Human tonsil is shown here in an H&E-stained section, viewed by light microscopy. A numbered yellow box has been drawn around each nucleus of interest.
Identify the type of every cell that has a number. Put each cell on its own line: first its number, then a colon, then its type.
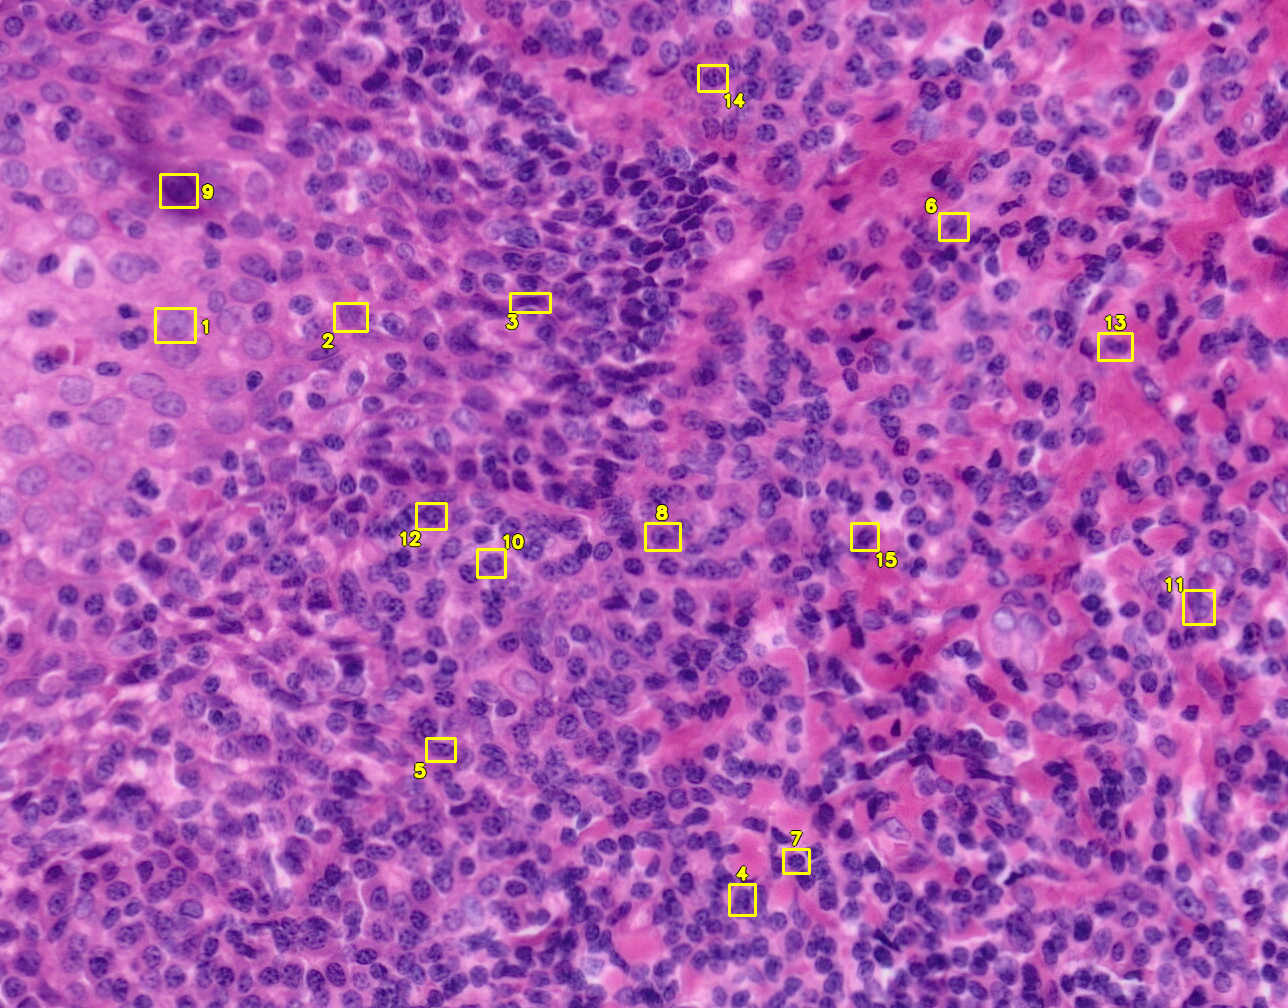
1: squamous epithelial cell
2: squamous epithelial cell
3: squamous epithelial cell
4: small lymphocyte
5: plasma cell
6: endothelial cell
7: small lymphocyte
8: plasma cell
9: squamous epithelial cell
10: plasma cell
11: endothelial cell
12: plasma cell
13: mast cell
14: plasma cell
15: plasma cell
